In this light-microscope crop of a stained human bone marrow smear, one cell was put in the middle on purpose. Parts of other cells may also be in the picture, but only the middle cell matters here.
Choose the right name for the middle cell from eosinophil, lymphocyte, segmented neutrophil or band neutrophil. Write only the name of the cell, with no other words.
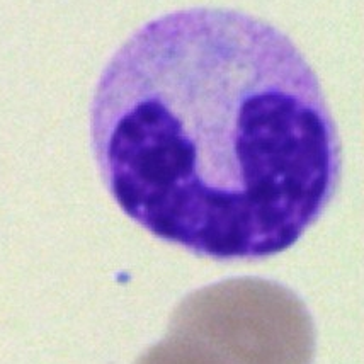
band neutrophil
